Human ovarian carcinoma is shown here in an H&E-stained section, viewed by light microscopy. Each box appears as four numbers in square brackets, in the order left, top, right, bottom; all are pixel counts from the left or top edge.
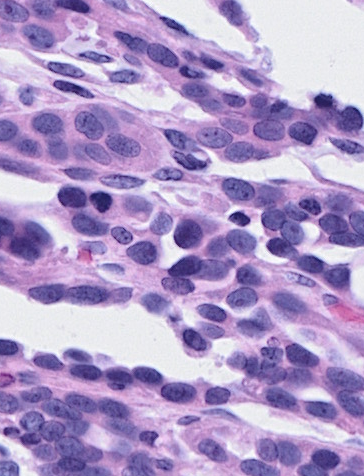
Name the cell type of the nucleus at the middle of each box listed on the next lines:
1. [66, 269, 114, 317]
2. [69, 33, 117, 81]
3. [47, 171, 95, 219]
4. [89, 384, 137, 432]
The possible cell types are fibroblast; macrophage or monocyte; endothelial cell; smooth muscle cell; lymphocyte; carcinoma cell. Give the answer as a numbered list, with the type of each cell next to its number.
1. carcinoma cell
2. fibroblast
3. carcinoma cell
4. carcinoma cell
